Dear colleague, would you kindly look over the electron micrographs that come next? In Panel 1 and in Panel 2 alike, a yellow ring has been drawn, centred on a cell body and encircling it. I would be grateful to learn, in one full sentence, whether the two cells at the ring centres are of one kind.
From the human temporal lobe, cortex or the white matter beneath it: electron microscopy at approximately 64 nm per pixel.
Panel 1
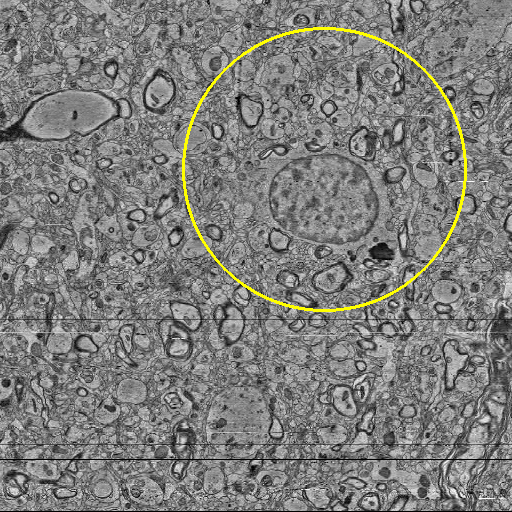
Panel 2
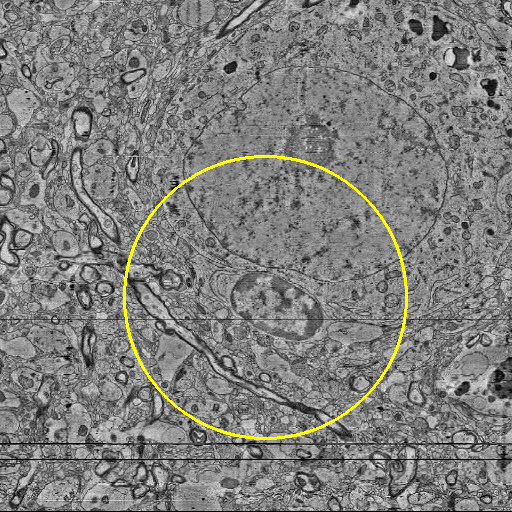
No, the cells in the middle of the rings in the two panels are of two kinds.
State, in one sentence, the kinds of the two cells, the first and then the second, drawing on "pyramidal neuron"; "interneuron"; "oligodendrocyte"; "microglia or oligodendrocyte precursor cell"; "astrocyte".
The ring in the second picture is centred on a microglial cell or oligodendrocyte precursor cell, the ring in the first on an oligodendrocyte.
